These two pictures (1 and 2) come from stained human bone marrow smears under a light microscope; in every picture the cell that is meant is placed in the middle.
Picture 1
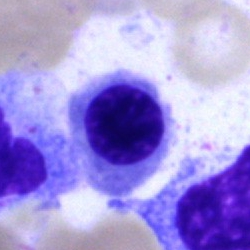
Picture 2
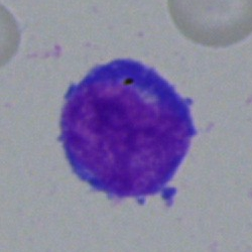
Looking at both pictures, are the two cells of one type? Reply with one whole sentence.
No, the types are not the same, since picture 1 shows an erythroblast and picture 2 a blast.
